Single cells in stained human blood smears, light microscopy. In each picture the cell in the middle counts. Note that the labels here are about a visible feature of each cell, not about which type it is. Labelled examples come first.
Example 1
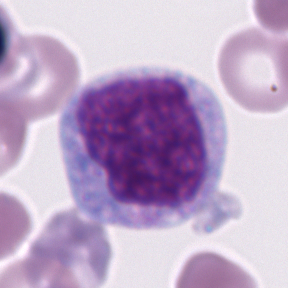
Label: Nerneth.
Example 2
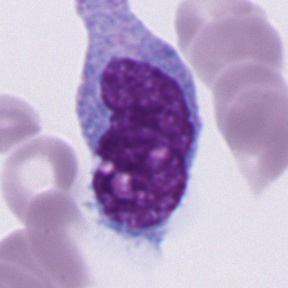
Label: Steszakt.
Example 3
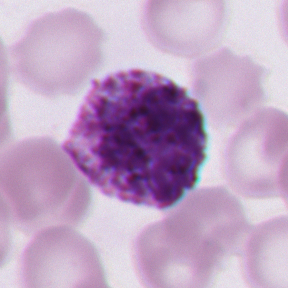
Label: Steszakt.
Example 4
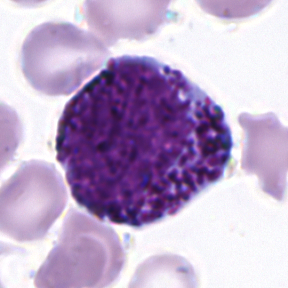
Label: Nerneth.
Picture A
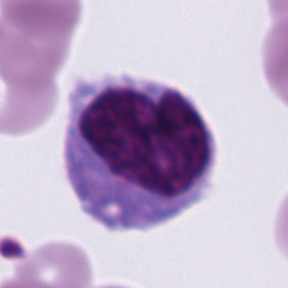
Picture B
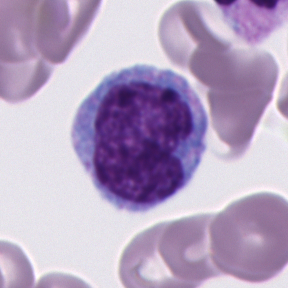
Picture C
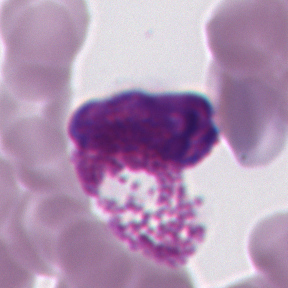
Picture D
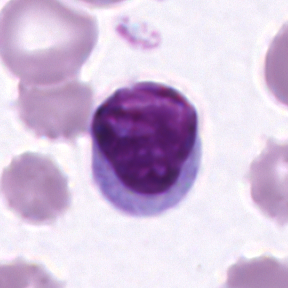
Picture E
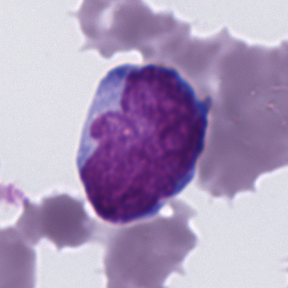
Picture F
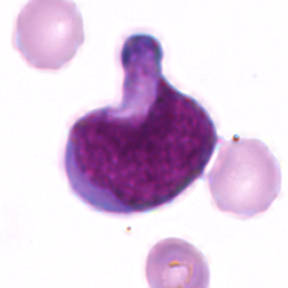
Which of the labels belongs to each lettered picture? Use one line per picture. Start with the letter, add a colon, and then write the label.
A: Steszakt.
B: Nerneth.
C: Steszakt.
D: Nerneth.
E: Nerneth.
F: Steszakt.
